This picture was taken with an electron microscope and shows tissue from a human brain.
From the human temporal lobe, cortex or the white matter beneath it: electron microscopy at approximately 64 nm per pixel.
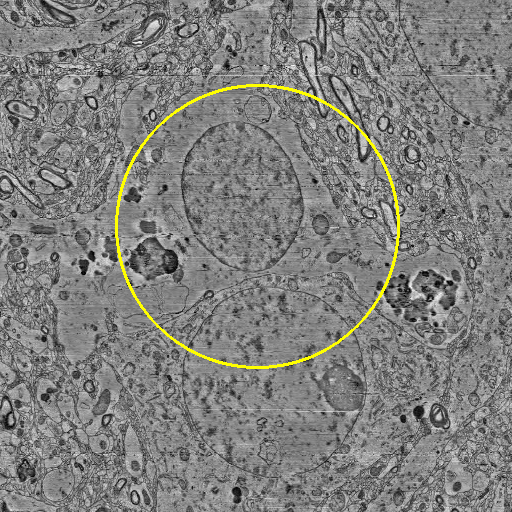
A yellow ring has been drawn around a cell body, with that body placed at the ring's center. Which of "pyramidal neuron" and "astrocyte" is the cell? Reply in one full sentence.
In this picture, an astrocyte is the cell at the center of the yellow ring.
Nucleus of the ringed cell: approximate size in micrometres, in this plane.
Approximately 10 micrometres long and 8 micrometres wide, in this plane.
